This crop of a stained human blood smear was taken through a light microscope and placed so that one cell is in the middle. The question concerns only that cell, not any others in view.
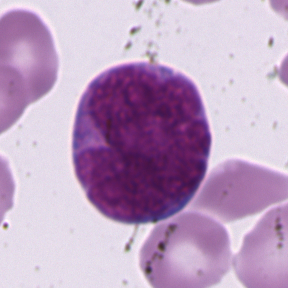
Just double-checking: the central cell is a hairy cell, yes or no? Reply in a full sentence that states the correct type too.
No, a hairy cell is not what the central cell is; it is a myeloblast.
